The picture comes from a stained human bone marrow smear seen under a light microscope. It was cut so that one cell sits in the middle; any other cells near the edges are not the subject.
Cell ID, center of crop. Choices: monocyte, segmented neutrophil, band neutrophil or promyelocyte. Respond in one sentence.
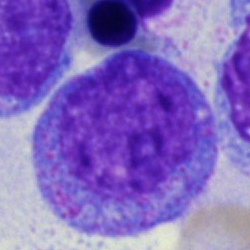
What the crop centres on is a promyelocyte.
